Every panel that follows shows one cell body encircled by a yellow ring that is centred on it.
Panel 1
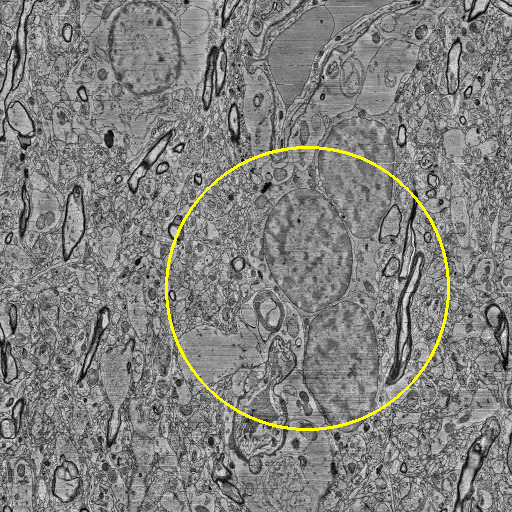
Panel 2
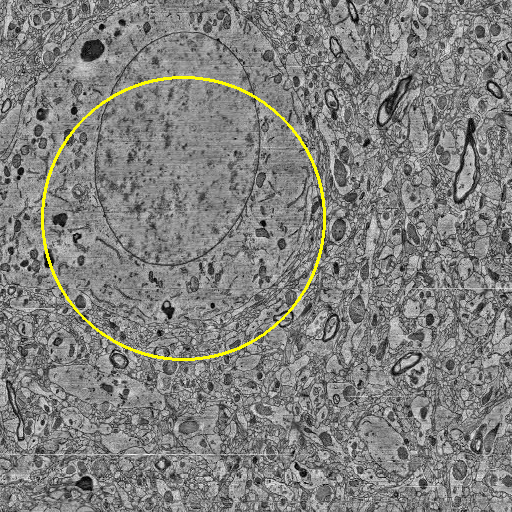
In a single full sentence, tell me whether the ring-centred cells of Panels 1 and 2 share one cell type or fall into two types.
In Panel 1 and Panel 2, the cells at the ring centres fall into two types.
